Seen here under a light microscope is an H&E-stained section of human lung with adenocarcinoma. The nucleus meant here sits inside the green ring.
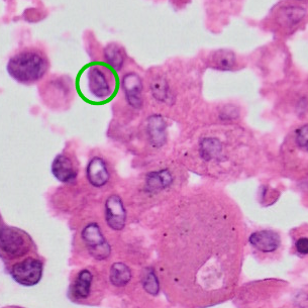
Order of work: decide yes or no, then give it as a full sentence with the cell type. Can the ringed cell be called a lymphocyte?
No, the ringed cell is a macrophage or monocyte; it is not a lymphocyte.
